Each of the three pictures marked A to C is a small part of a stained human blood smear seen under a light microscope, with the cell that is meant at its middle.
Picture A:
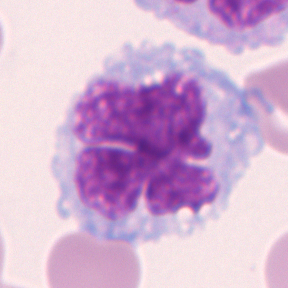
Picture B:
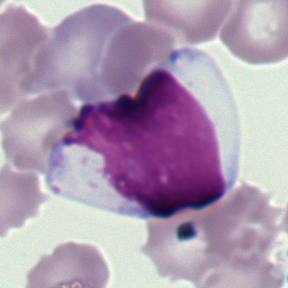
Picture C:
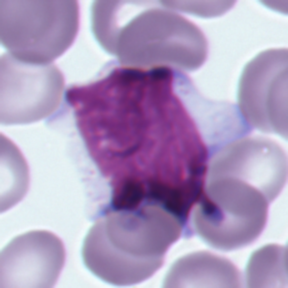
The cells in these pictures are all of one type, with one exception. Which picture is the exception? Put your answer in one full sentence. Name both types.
The others show large granular lymphocytes, but picture A shows a monocyte.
